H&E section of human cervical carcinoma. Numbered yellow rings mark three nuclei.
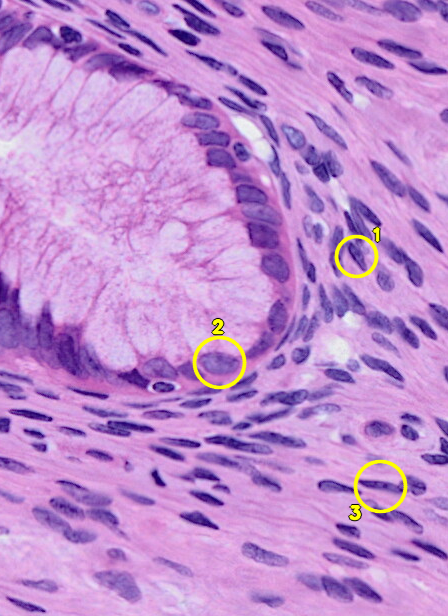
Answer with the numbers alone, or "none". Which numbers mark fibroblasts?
1, 3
